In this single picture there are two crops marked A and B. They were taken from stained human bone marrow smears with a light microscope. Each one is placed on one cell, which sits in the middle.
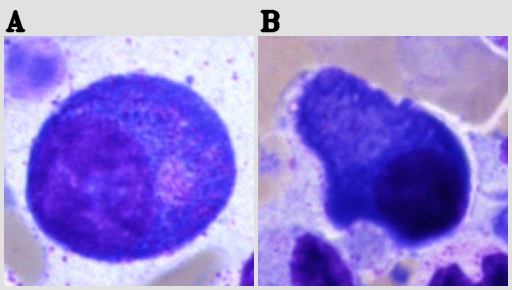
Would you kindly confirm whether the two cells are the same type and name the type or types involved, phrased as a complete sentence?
No, crop A is home to a promyelocyte, and crop B to a plasma cell.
